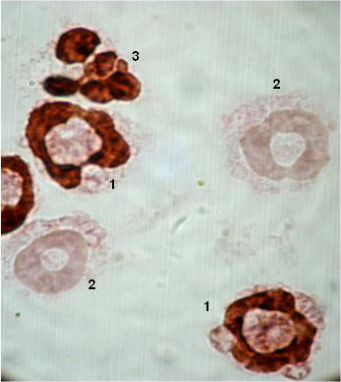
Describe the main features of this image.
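Several large rounded cells have ring-shaped nuclei surrounding a pale central zone; in some the ring nucleus is stained intensely dark brown, while in others it stays pale pinkish without brown. Their cytoplasm forms a frothy, finely granular rim around the nucleus. At the upper left a smaller cell has a nucleus divided into several separate brown lobes. The cells lie separately on a pale background with no tissue architecture.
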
